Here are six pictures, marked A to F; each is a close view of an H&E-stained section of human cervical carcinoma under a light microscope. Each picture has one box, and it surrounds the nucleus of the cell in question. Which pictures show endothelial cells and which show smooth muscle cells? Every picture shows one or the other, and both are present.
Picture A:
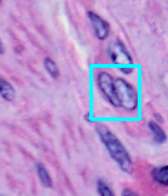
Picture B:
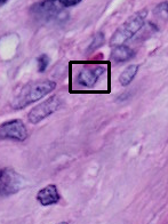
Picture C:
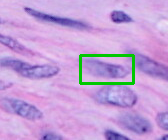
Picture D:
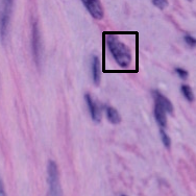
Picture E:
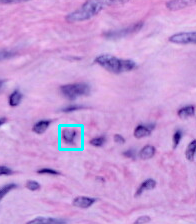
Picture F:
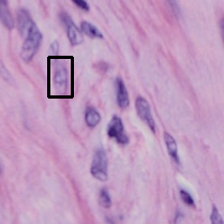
A: endothelial cell
B: endothelial cell
C: smooth muscle cell
D: endothelial cell
E: smooth muscle cell
F: smooth muscle cell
